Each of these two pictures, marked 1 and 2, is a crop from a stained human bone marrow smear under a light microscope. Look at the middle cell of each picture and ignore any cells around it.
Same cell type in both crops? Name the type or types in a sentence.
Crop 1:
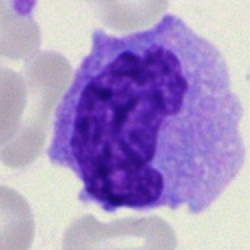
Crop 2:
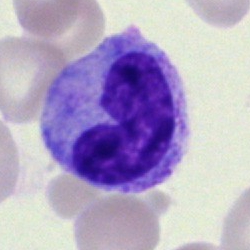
Yes, both crops show monocytes, and the two match.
